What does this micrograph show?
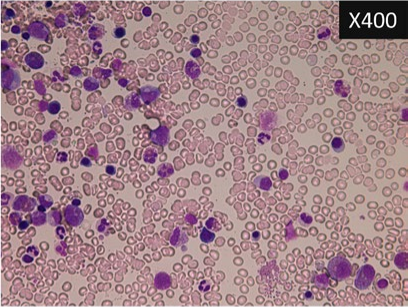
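This bone marrow smear shows a dense background of pale pink, round, anucleate red blood cells with scattered nucleated cells among them. The nucleated cells vary in size: some are small with round, dark purple nuclei and little cytoplasm, while others are larger with lobed or irregular nuclei. The nucleated cells lie singly or in small loose groups and are most crowded toward the left and lower edges of the field.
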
